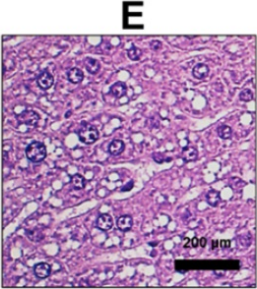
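Liver tissue with hepatocytes arranged in cords separated by narrow sinusoidal spaces. Many hepatocytes contain numerous clear, round cytoplasmic vacuoles of varying size within pink cytoplasm. The nuclei are round and centrally placed, each with a prominent nucleolus, and some cells appear to hold two nuclei.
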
